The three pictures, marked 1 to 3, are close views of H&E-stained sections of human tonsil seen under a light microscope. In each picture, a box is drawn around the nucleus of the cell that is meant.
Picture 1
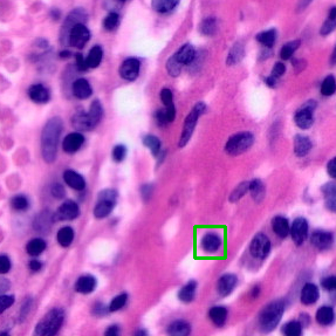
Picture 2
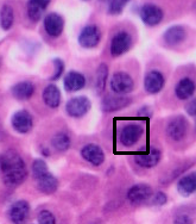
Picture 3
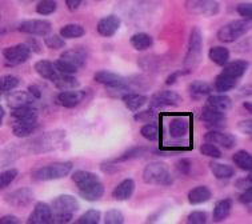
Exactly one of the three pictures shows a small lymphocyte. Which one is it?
3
